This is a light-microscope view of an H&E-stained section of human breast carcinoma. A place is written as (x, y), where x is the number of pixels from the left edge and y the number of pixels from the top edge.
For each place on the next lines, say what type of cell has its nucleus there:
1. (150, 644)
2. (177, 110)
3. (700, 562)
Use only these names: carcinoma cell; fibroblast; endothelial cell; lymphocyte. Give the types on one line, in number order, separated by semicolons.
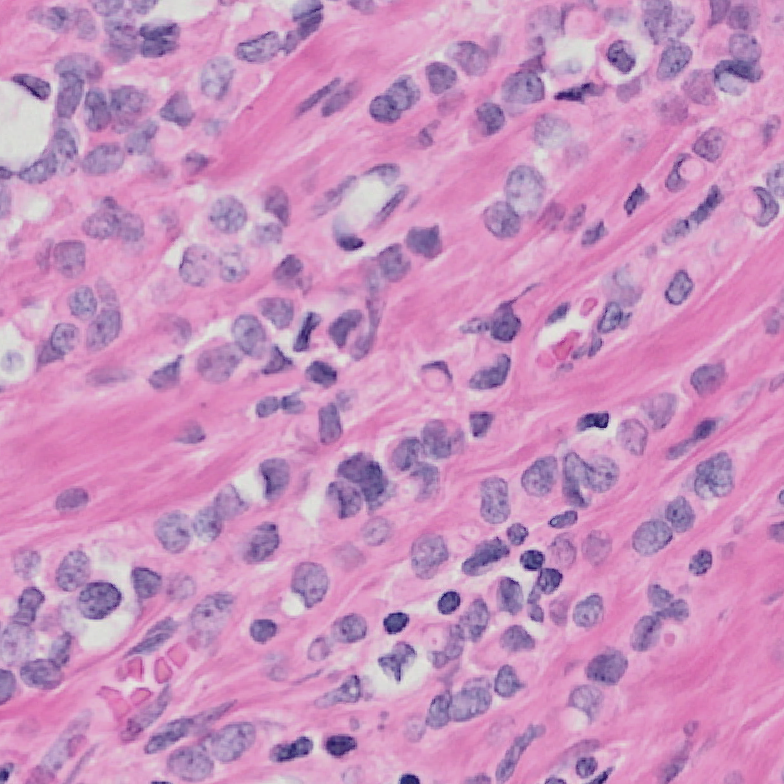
endothelial cell; carcinoma cell; lymphocyte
